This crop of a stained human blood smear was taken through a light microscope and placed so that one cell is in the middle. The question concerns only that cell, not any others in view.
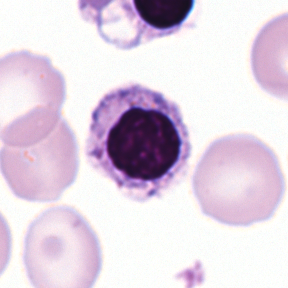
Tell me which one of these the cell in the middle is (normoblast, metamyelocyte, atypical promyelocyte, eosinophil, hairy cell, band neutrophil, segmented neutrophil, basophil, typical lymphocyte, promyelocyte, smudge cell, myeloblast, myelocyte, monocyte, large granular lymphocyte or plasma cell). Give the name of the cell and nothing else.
normoblast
